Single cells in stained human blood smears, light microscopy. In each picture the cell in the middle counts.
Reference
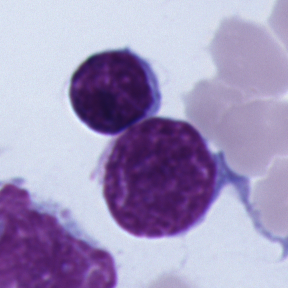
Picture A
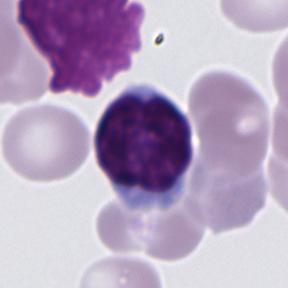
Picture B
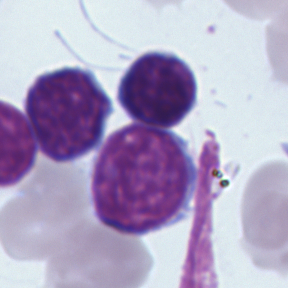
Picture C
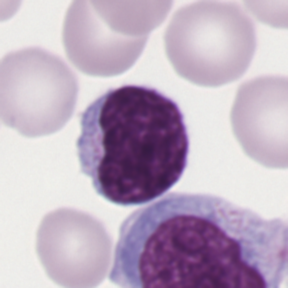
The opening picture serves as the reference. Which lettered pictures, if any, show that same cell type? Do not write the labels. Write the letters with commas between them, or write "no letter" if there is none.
B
